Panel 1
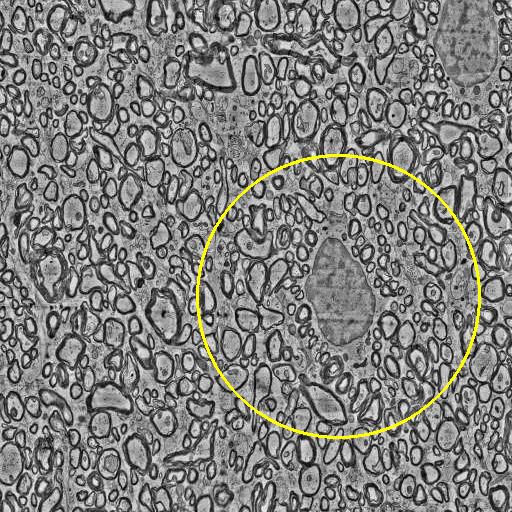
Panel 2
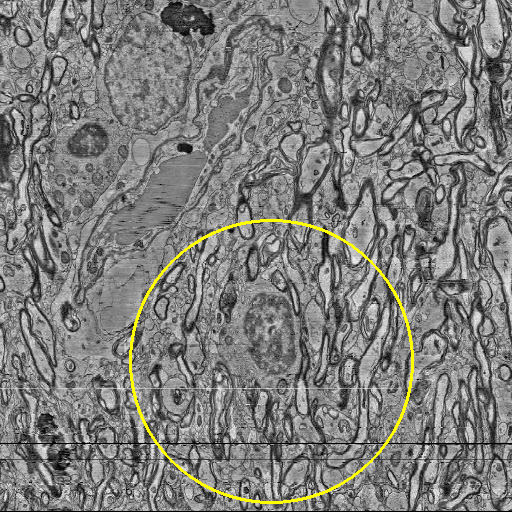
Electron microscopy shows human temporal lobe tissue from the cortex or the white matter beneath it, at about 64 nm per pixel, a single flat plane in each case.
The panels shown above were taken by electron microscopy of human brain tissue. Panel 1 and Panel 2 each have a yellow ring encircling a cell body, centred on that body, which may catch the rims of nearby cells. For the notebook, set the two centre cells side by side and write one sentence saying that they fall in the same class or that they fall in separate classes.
The centred cells of Panel 1 and Panel 2 fall in the same class.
